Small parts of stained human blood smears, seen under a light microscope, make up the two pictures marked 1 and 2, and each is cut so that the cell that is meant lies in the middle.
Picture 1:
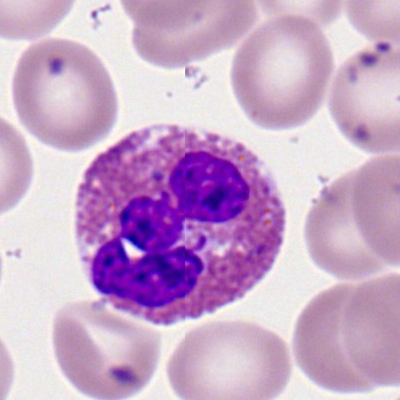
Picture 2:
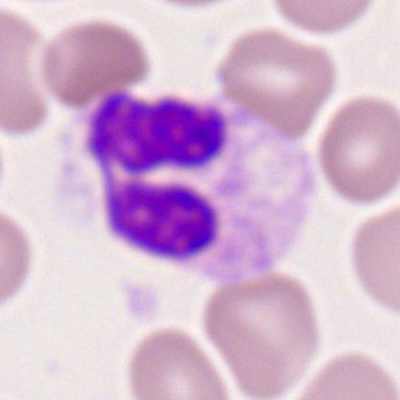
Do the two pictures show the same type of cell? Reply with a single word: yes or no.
no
